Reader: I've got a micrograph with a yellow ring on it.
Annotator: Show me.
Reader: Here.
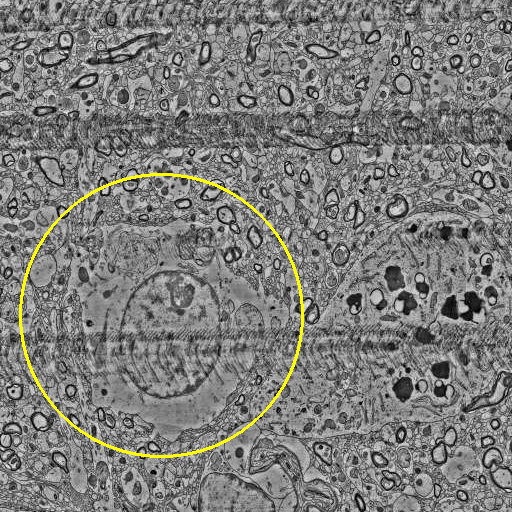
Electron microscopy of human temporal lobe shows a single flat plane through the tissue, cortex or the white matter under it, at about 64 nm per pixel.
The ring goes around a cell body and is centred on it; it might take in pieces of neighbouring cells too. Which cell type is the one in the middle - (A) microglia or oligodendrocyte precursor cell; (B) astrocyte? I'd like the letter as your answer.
B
